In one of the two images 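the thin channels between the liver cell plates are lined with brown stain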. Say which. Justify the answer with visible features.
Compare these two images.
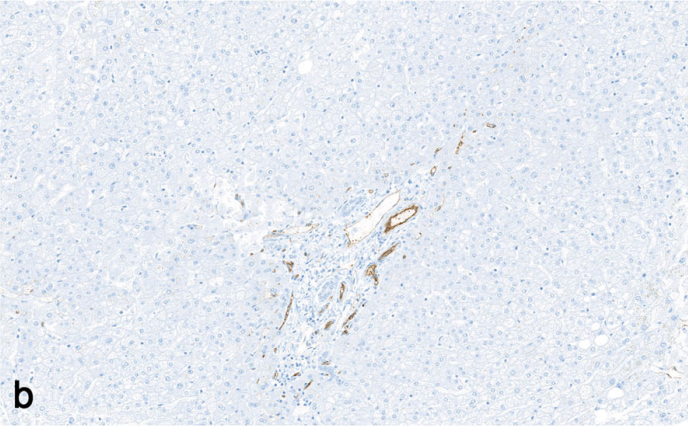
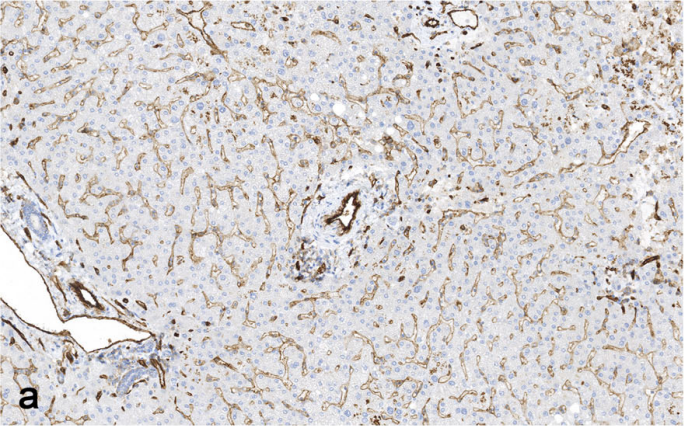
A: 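First image: the spaces between the pale cell plates show no brown lining; only a few vessels in a central fibrous tract are brown. Second image: a network of thin brown lines runs between the cell plates throughout.
The second image.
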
